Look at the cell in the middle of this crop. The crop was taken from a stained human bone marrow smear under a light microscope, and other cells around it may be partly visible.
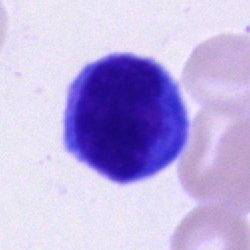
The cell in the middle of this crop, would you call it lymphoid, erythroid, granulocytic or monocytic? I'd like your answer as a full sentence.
Lineage-wise, the cell in the center of the crop is monocytic.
